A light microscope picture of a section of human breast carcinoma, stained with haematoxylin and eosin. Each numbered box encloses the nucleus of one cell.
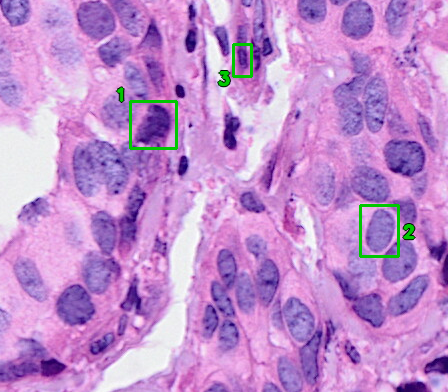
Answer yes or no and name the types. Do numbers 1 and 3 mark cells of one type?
No, the cell bearing number 1 is a carcinoma cell, while the one bearing number 3 is an endothelial cell.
